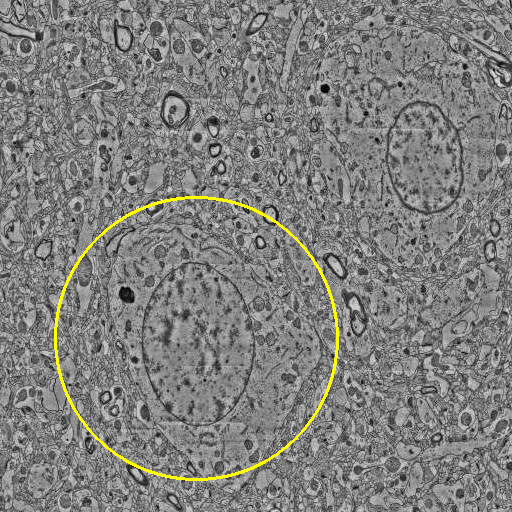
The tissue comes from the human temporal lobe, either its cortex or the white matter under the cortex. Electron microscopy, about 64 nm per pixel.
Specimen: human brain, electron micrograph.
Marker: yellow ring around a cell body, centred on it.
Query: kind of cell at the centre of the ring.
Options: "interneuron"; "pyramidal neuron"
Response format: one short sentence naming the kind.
This cell body belongs to a pyramidal neuron.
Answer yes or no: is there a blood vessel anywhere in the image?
No, the image shows no blood vessel.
